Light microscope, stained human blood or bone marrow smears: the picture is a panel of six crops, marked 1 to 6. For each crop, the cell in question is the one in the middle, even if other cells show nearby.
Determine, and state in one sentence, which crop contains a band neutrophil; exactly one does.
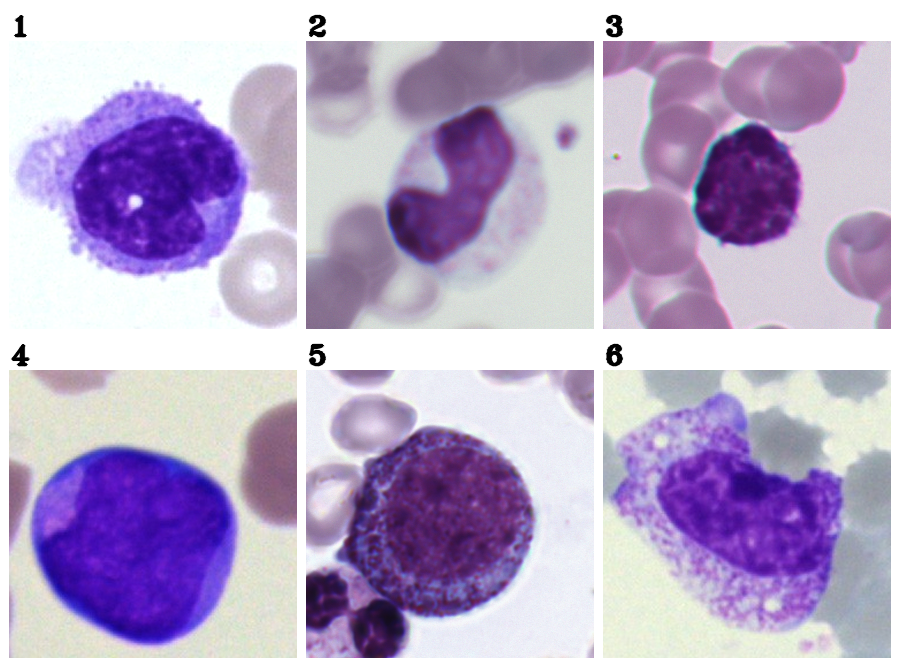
It is in crop 2 that a band neutrophil is shown.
